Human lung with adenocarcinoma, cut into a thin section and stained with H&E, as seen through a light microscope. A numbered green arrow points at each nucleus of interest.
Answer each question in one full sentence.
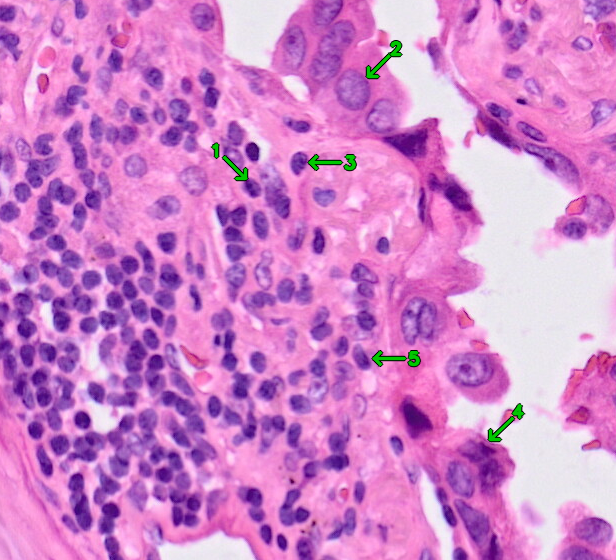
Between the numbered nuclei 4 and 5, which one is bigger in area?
At about 1.5 times the area of nucleus 5, nucleus 4 is the larger of the two.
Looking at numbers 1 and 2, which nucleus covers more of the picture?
The larger nucleus is 2, at roughly 4 times the area of 1.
